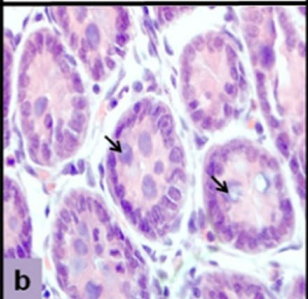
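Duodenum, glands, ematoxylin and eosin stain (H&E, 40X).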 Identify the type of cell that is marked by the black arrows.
goblet cells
